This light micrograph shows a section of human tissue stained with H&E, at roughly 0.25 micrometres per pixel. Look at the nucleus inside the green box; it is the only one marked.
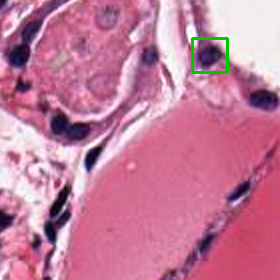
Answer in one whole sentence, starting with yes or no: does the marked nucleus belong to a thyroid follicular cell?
Yes, the marked nucleus is part of a thyroid follicular cell.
